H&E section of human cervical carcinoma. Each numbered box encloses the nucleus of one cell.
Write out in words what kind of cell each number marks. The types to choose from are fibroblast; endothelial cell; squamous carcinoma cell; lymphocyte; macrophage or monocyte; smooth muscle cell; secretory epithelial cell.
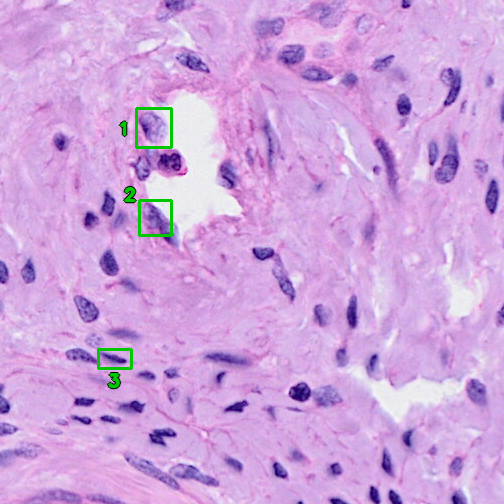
Cell 1 is an endothelial cell, cell 2 is an endothelial cell and cell 3 is a fibroblast.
